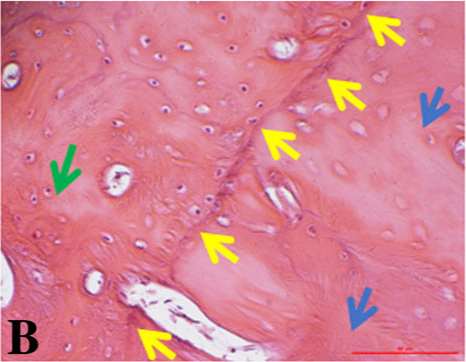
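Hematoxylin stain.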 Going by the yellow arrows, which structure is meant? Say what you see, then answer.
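The yellow arrows line up along a thin dark line crossing the bone matrix. The matrix on the two sides of this line differs in texture and cell density. On this evidence: the transition between original and newly formed bone.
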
